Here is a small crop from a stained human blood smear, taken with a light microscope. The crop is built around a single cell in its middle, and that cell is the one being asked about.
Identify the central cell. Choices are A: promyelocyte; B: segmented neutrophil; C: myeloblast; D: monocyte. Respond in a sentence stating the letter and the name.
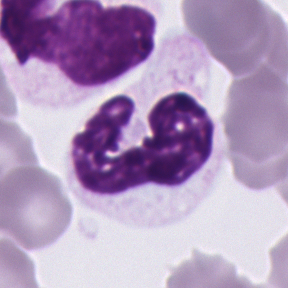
The central cell in this crop is a segmented neutrophil, corresponding to option B, the correct option.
